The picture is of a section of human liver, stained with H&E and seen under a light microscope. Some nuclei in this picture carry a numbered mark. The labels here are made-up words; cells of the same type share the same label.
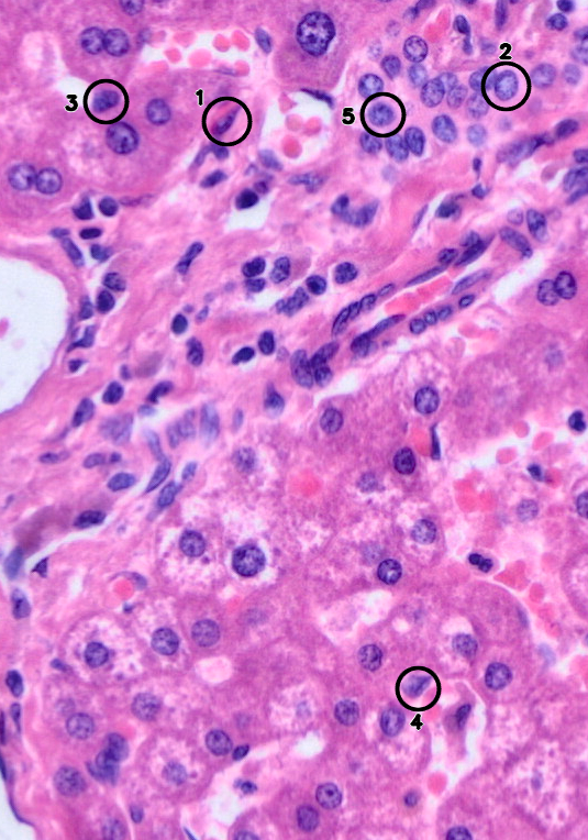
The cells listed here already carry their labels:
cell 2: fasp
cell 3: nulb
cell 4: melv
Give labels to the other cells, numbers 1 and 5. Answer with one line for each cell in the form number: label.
1: nulb
5: fasp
